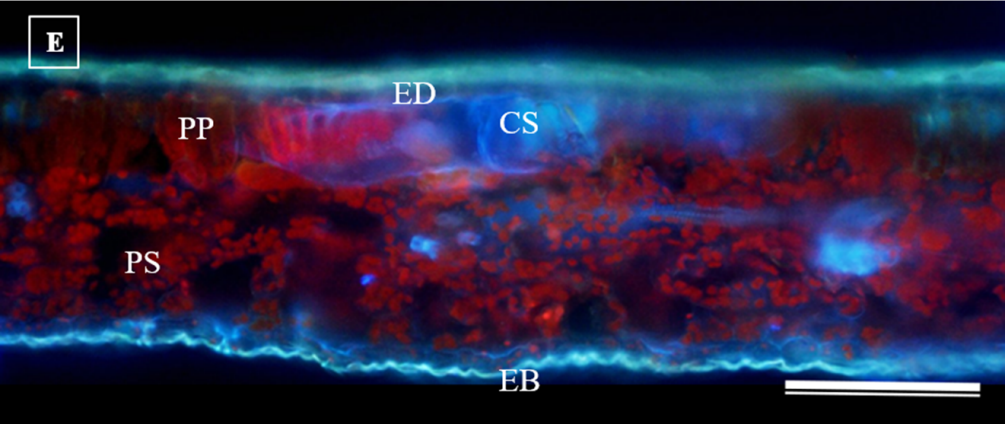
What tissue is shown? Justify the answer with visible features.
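A thin flat sheet bounded above and below by a single bright blue-white cell layer. Between the two surface layers, many cells filled with small red-fluorescing granules. Elongated cells lie just beneath the upper surface layer. The answer: leaf lamina.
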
